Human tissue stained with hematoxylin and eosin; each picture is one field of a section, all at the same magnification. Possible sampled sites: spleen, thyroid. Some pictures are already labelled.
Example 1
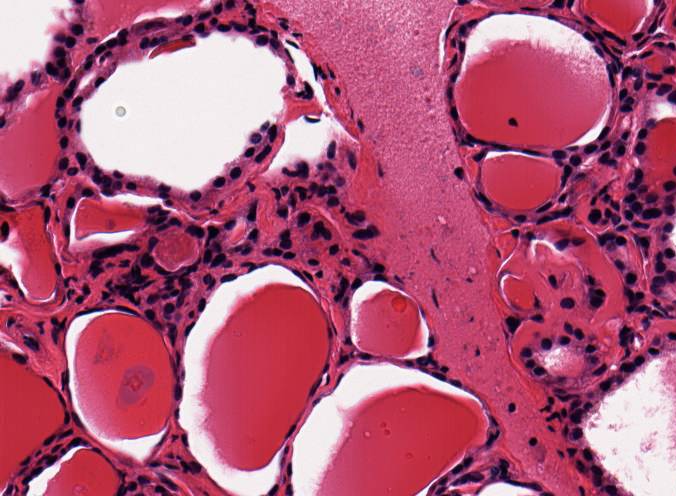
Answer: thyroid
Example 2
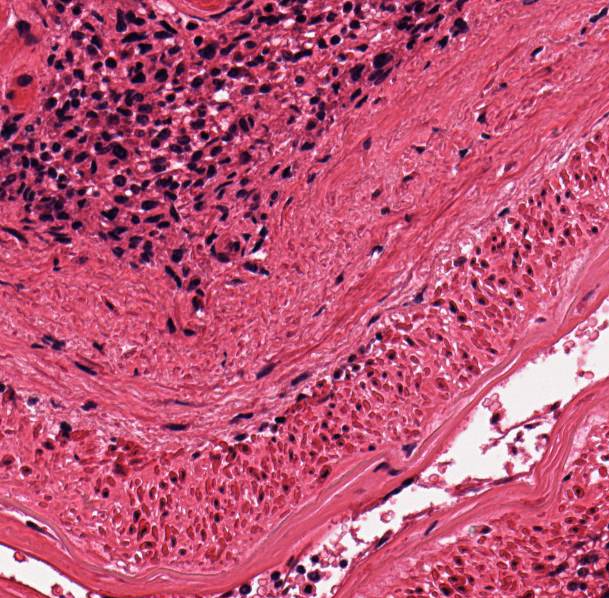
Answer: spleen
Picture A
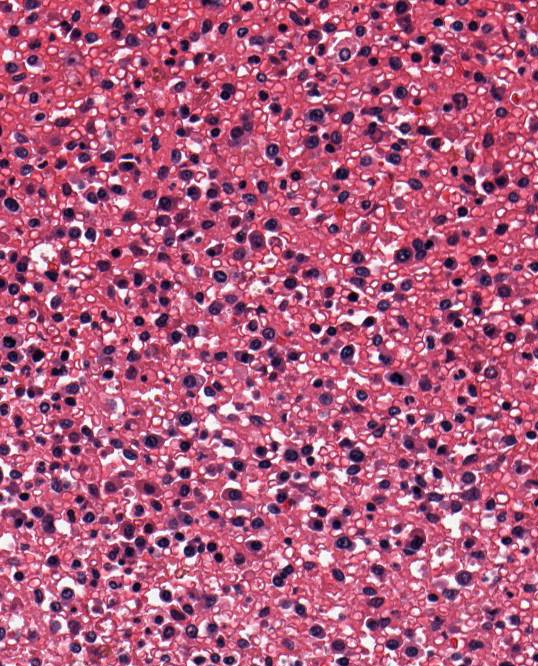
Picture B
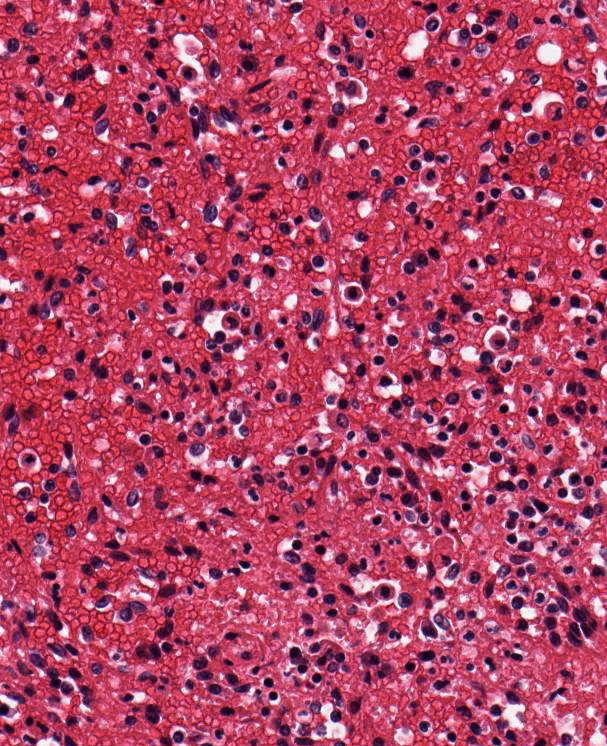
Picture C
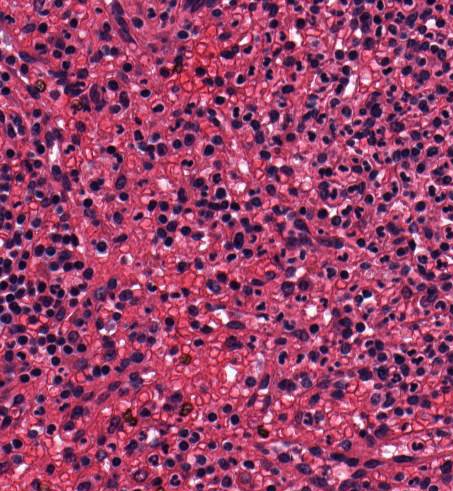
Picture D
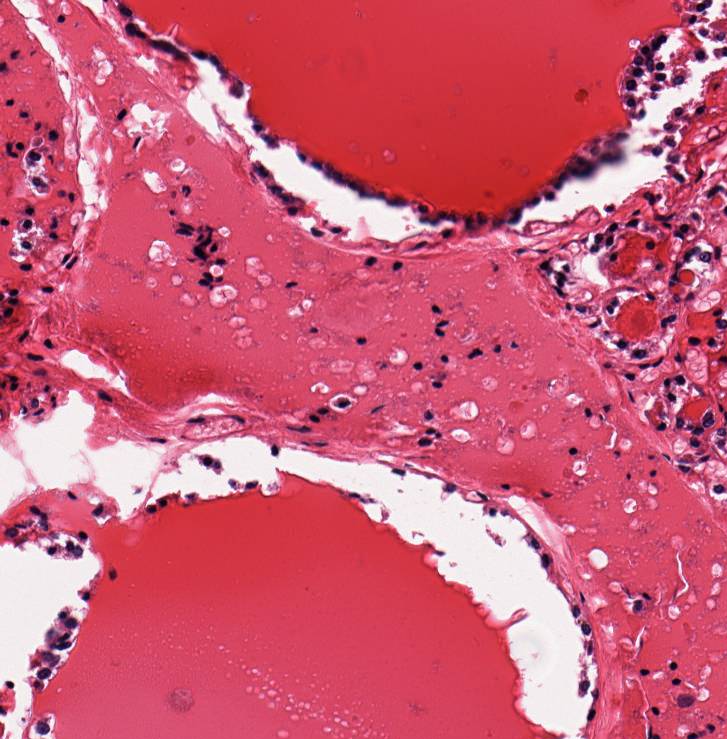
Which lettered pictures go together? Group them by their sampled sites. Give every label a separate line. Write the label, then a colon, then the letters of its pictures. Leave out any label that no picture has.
spleen: A, B, C
thyroid: D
